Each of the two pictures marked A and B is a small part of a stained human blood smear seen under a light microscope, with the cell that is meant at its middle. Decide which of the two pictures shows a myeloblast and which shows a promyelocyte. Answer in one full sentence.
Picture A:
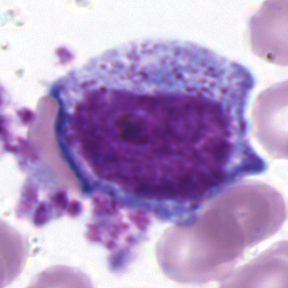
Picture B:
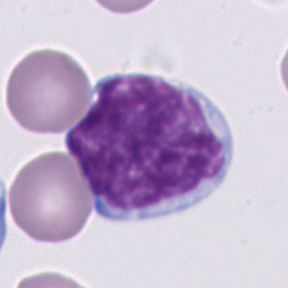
Picture A shows a promyelocyte and picture B shows a myeloblast.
